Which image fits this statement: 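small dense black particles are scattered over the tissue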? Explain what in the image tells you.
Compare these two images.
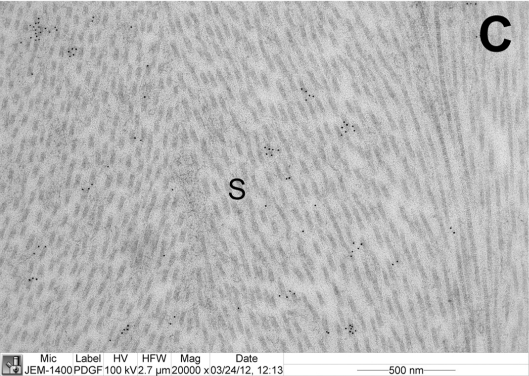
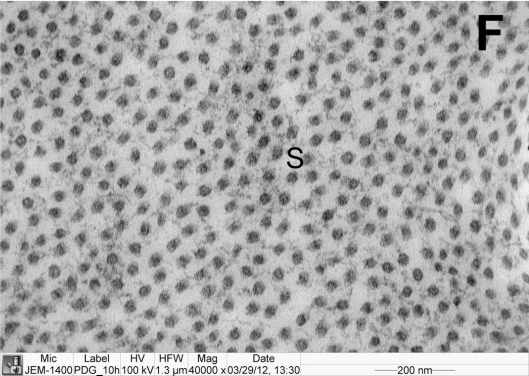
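Second image: evenly spaced grey fibril cross-sections with no distinct black dots among them. First image: small round black dots, singly and in small clusters, lie over the fibrillar matrix.
Hence: the first image.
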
